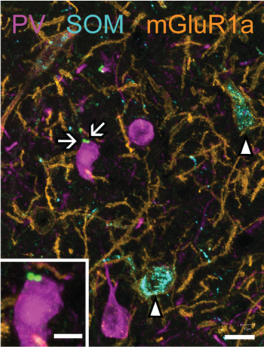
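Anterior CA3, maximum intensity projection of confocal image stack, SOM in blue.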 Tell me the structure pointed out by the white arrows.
Terminal boutons.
